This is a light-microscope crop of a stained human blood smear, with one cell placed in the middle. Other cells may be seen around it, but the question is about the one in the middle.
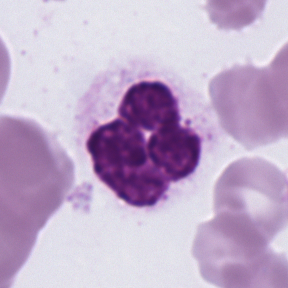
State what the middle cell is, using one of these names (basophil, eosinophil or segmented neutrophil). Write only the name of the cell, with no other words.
segmented neutrophil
